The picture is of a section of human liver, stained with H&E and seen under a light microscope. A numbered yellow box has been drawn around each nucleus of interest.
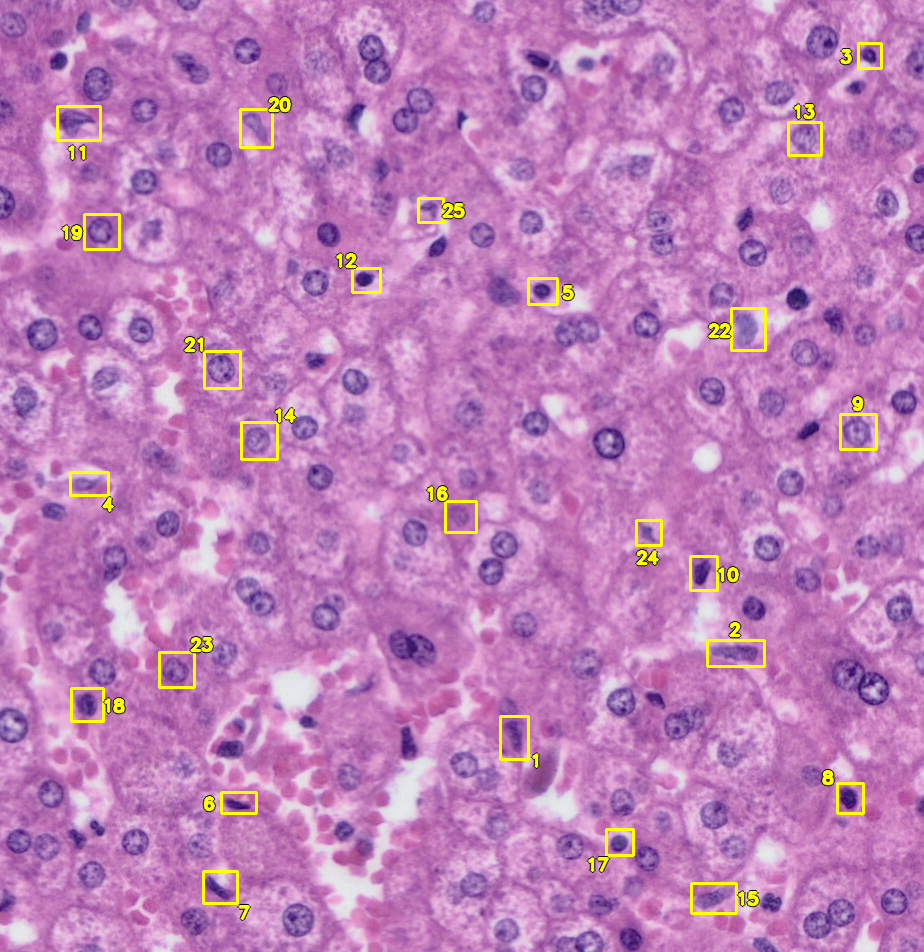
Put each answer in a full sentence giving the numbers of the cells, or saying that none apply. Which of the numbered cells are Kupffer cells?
The cells with labels 2, 4, 11, 15, 20 and 25 are Kupffer cells.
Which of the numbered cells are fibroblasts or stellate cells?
On this slide, the cells numbered 1, 3, 6, 10 and 18 are fibroblasts or stellate cells.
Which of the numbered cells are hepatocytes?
By cell type, the cells numbered 9, 13, 14, 16, 19, 21 and 23 are hepatocytes.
